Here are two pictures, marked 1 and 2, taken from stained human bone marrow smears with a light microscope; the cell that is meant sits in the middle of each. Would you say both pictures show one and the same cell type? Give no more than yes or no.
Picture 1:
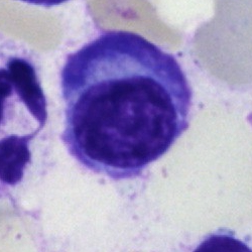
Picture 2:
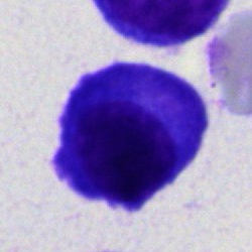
yes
